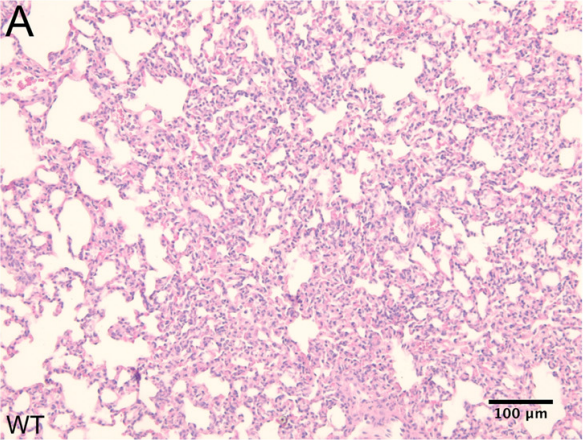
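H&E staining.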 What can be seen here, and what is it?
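This is lung tissue with many small alveolar air spaces separated by thin pink septa. The septa hold numerous small cells with dark purple nuclei. The architecture looks fairly even throughout, with no compact clusters of crowded, darkly staining cells.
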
